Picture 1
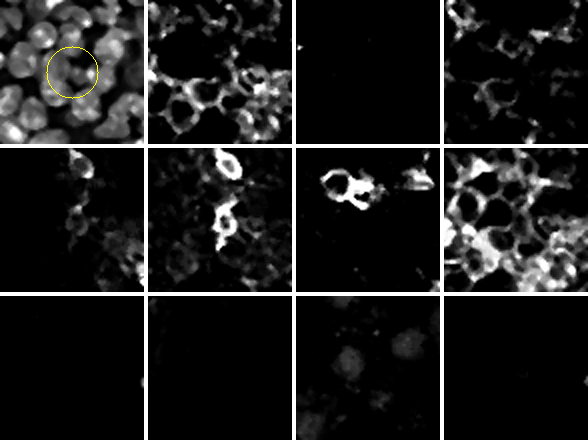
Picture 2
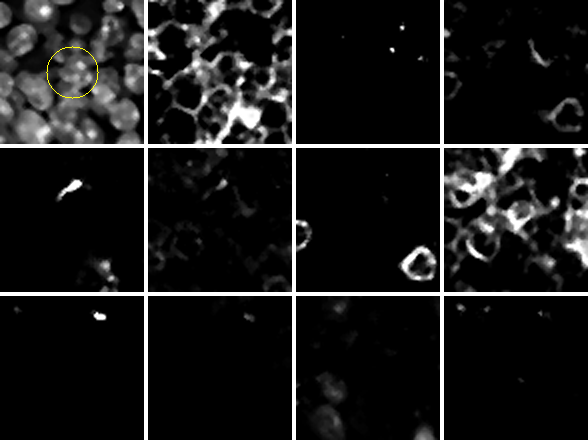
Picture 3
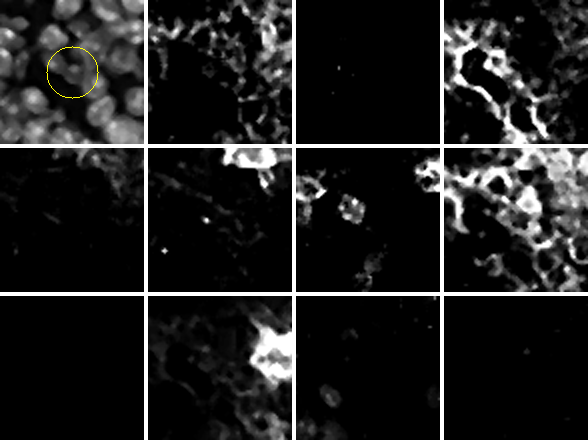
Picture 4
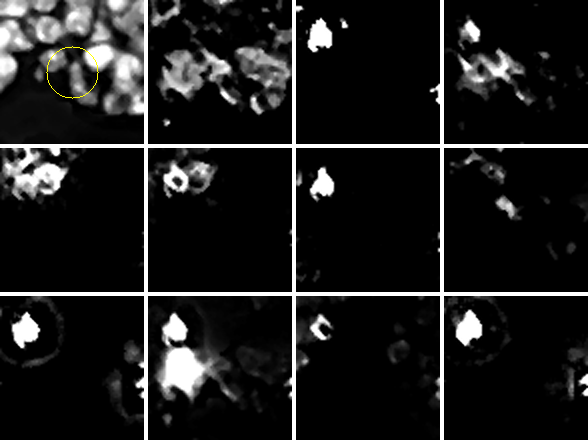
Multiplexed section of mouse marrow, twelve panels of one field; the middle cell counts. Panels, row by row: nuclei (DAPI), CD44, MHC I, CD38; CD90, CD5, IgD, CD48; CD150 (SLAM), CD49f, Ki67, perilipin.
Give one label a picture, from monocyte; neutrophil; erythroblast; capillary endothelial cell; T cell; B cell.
Picture 1: T cell
Picture 2: monocyte
Picture 3: capillary endothelial cell
Picture 4: capillary endothelial cell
